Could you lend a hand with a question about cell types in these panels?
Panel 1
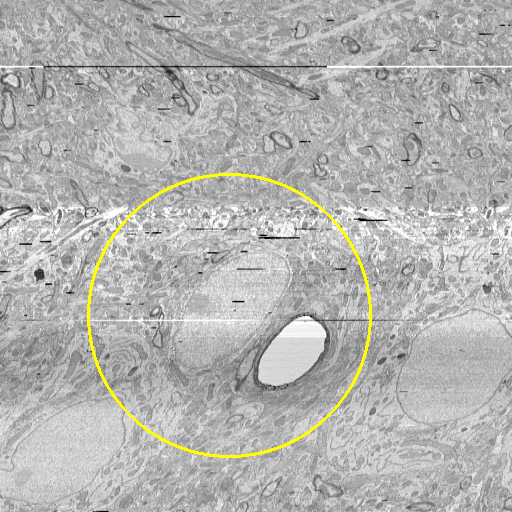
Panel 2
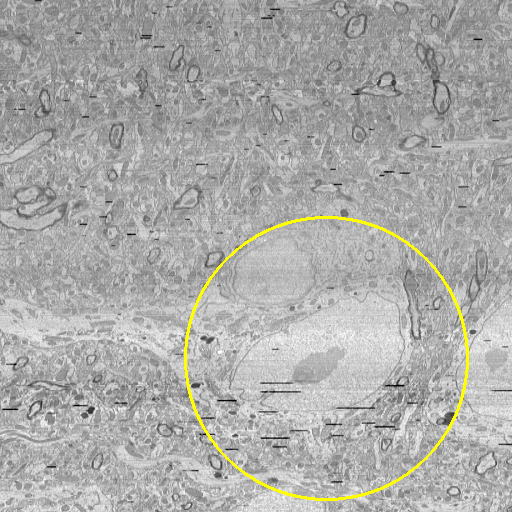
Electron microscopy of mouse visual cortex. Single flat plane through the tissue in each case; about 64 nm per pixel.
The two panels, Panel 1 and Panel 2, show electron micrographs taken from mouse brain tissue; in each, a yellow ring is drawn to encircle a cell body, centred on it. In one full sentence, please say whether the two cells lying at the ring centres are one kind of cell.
No, the cells at the ring centres in the two panels are two kinds of cell.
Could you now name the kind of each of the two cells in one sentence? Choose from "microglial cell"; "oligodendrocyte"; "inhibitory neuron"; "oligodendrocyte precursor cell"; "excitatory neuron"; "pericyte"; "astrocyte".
The first ring encloses an astrocyte; the second ring encloses an excitatory neuron.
